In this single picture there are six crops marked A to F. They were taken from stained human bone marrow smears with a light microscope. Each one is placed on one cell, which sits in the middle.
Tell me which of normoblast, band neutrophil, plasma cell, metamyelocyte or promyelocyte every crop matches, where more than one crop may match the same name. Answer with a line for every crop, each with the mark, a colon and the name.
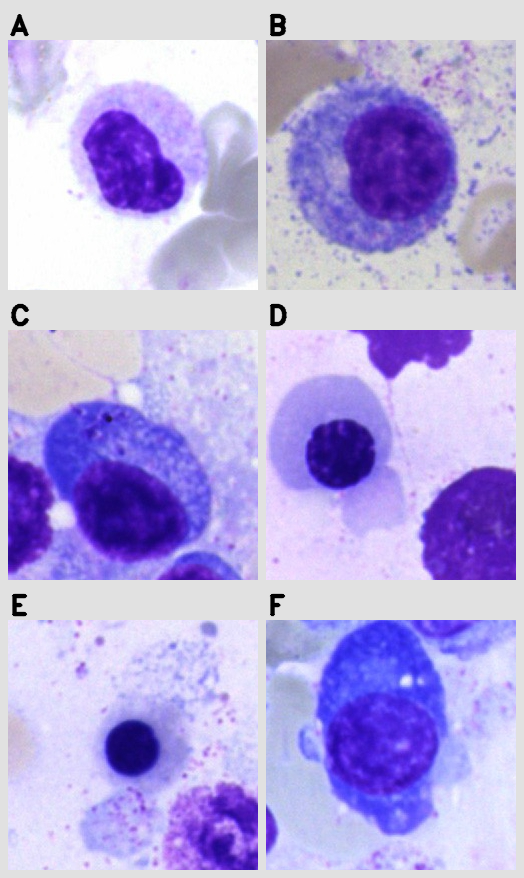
A: band neutrophil
B: promyelocyte
C: plasma cell
D: normoblast
E: normoblast
F: plasma cell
